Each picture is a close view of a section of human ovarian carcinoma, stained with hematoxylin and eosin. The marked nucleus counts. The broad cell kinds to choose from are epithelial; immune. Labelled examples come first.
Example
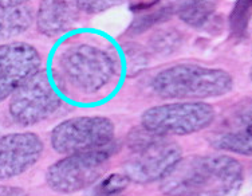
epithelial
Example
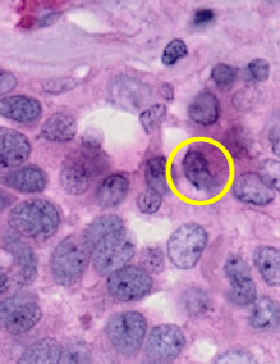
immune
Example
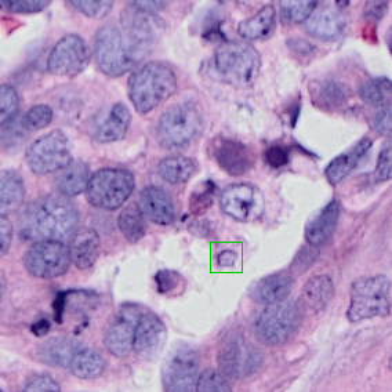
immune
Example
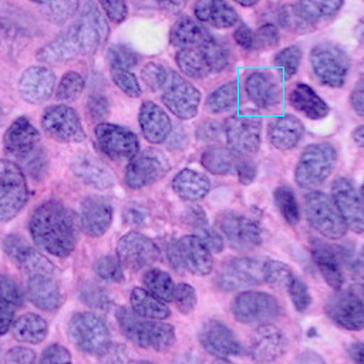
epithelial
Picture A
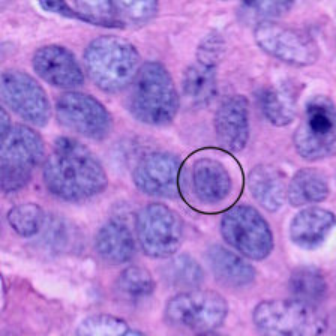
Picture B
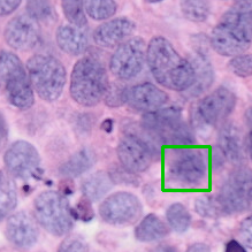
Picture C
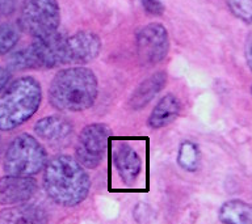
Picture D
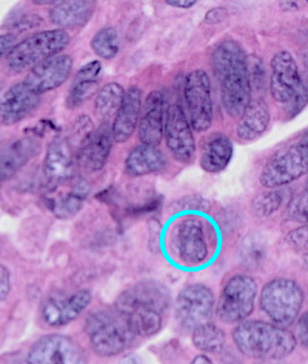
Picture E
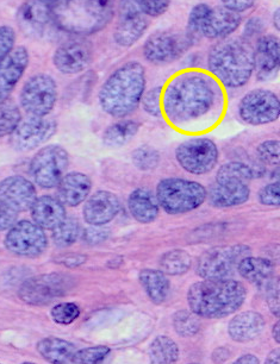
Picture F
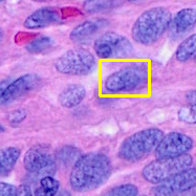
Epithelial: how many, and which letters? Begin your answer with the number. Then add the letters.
5: A, B, D, E, F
